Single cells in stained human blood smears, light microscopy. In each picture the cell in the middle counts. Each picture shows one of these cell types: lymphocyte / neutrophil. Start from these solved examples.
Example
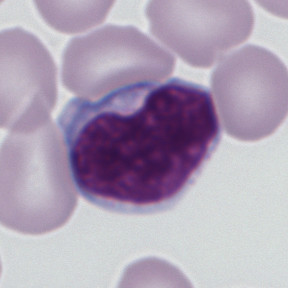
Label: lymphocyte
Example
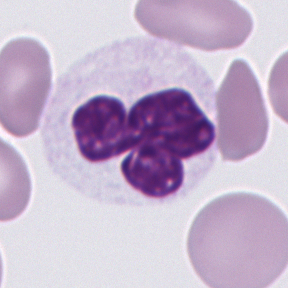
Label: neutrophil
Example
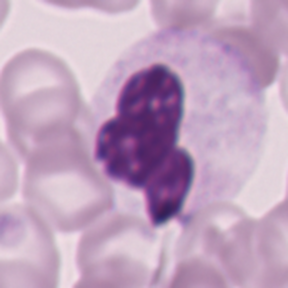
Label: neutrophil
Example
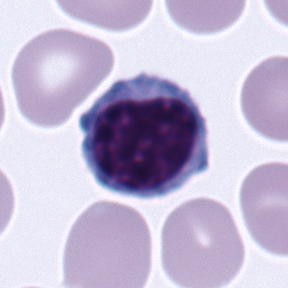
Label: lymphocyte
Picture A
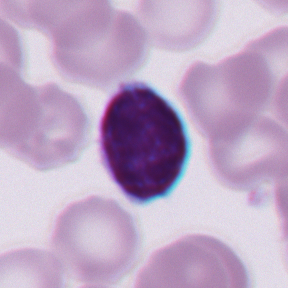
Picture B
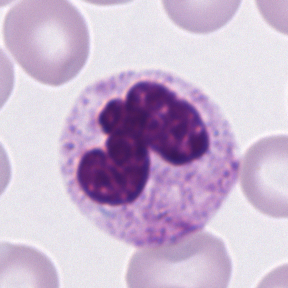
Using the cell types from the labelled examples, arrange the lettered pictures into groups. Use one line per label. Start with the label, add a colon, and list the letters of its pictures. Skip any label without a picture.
lymphocyte: A
neutrophil: B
